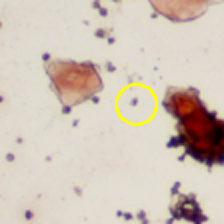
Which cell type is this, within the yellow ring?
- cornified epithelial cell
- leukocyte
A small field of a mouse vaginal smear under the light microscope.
Within the ring is a leukocyte.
